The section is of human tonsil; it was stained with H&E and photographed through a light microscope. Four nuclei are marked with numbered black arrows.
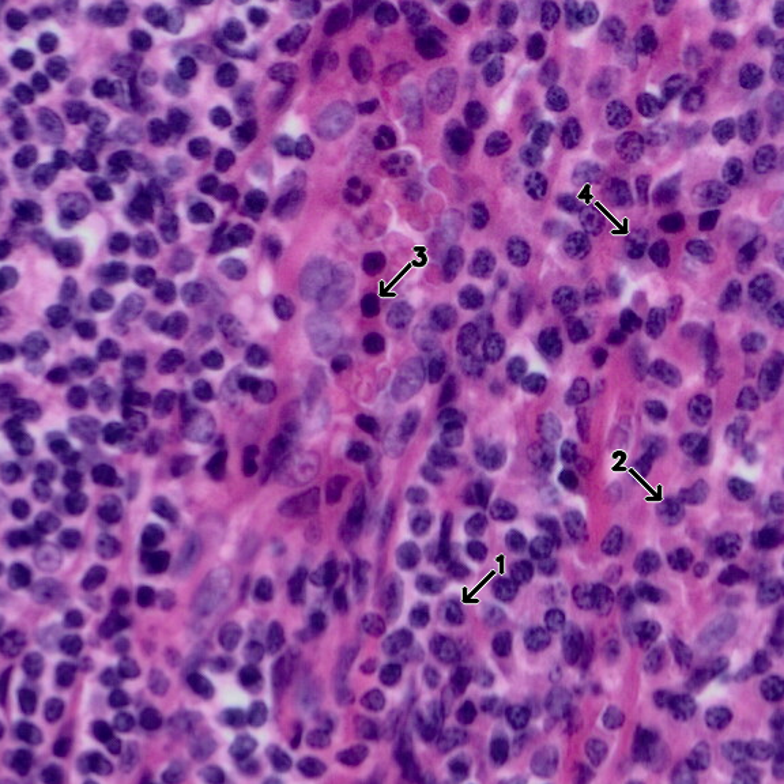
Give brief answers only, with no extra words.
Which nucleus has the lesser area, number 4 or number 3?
3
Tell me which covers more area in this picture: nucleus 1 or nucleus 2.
2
